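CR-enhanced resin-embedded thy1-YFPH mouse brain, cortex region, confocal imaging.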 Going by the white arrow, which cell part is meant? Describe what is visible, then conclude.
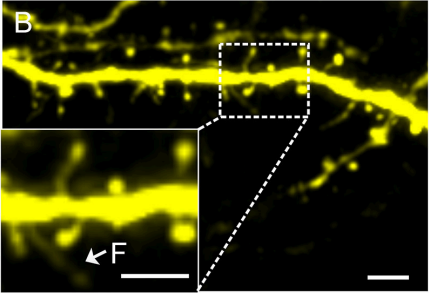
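The arrow points to a thin, faint protrusion from the dendrite shaft. The protrusion lacks the round head seen on neighbouring protrusions. The answer: filopodium.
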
